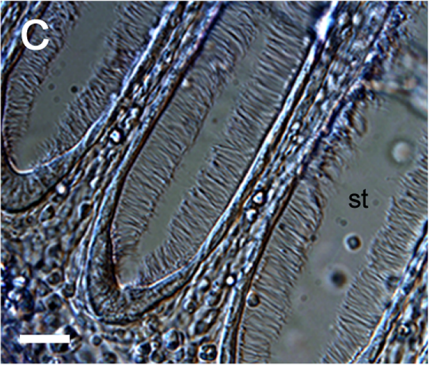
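Gill slits of the branchial wall appear as elongated openings with rounded ends separated by narrow bars of cells. The cells lining each slit bear a dense fringe of cilia projecting into the opening.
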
